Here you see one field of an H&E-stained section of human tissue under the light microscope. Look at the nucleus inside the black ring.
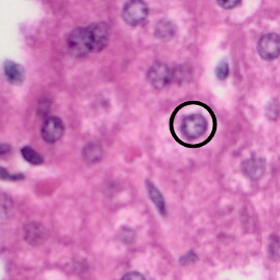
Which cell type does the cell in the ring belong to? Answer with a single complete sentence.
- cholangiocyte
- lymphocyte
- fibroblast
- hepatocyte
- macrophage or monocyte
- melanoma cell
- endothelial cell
At the level of cell identity, the cell in the ring is a hepatocyte.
